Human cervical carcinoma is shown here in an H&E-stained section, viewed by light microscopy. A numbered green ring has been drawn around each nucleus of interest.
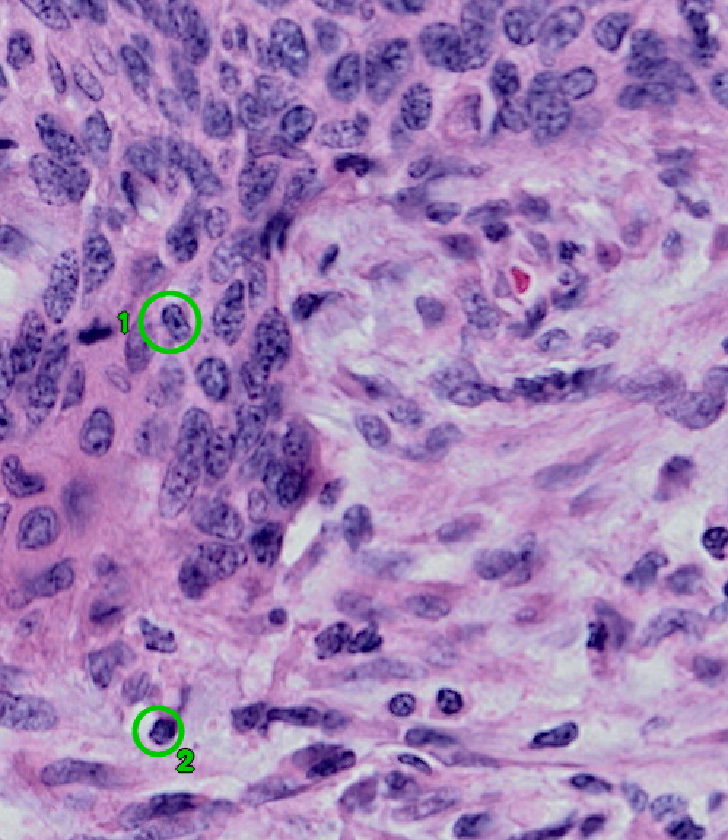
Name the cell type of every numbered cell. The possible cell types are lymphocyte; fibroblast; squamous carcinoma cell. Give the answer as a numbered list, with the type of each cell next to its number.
1. squamous carcinoma cell
2. lymphocyte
